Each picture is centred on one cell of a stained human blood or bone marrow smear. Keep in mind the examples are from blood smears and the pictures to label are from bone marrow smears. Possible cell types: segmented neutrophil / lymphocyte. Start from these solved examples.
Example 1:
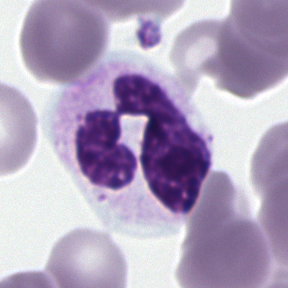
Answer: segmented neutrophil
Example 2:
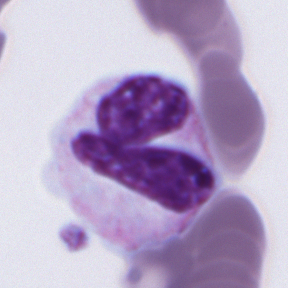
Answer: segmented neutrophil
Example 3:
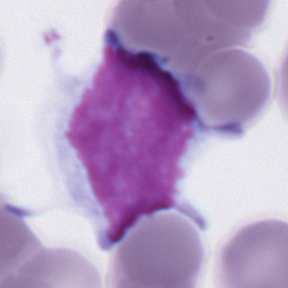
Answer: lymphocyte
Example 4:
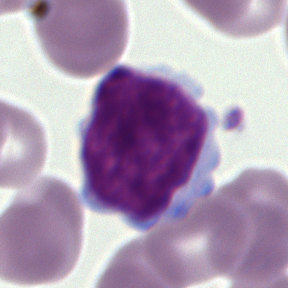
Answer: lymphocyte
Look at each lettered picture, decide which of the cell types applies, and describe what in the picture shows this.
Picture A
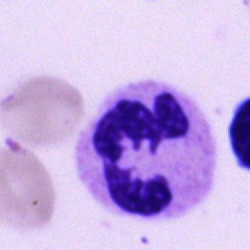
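segmented neutrophil. Reason: The cytoplasm is abundant and pale lilac-pink.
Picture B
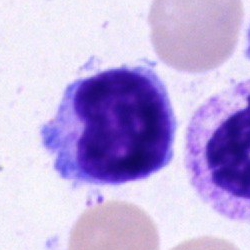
lymphocyte. Reason: The nucleus fills most of the cell.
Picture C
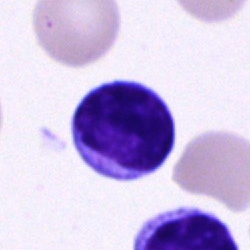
lymphocyte. Reason: The nucleus fills almost the whole cell, leaving very little cytoplasm.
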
